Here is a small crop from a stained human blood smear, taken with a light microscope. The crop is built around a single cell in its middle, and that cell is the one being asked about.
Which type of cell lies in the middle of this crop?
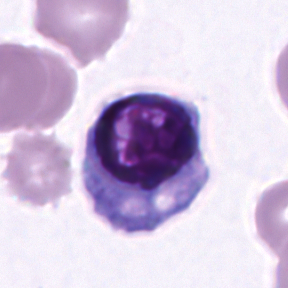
plasma cell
